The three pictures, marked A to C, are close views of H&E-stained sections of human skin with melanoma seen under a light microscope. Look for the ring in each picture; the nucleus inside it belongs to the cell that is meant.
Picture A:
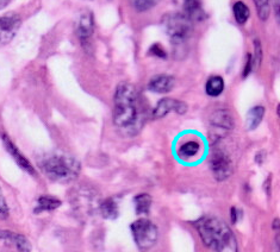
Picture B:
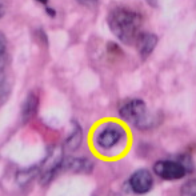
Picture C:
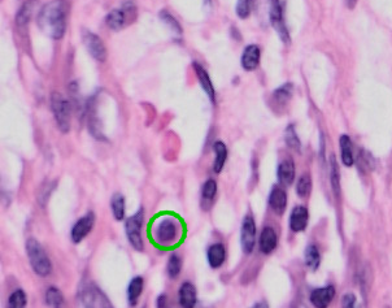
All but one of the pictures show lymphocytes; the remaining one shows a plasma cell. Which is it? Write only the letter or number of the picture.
C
